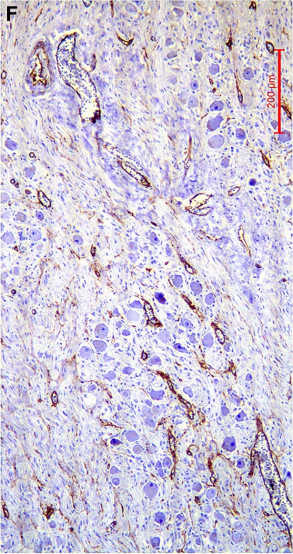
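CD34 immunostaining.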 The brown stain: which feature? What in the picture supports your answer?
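Brown-outlined tubular and ring-shaped profiles run through the tissue. Some larger brown-lined profiles have open lumens. The brown profiles lie between large round purple cell bodies.
Vascular supply of the ganglionic tissue.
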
